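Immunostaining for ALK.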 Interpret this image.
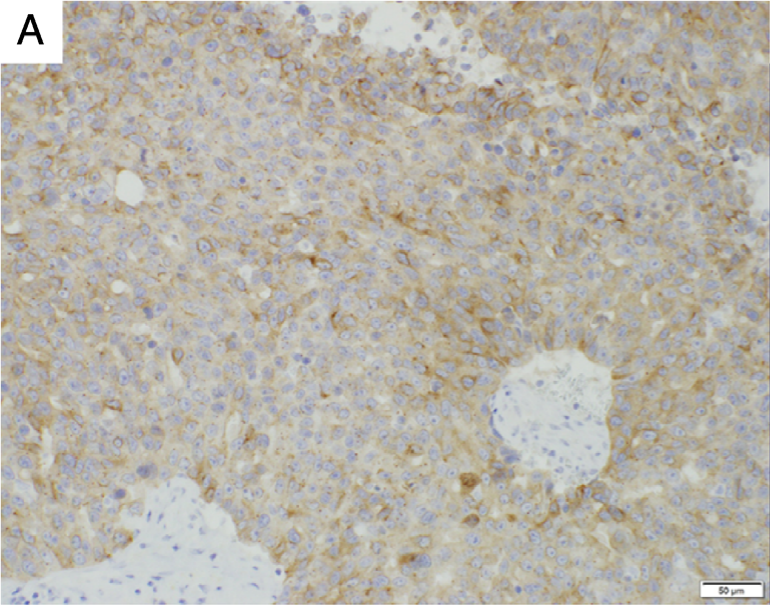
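This is a solid sheet of tumour cells, packed closely together with no glandular arrangement, broken only by a few pale spaces of loose stroma. The cells are polygonal, with round to oval blue nuclei and moderate cytoplasm, and a light brown stain runs through the cytoplasm and along the cell borders across nearly the whole field. The pale stromal spaces themselves stay unstained.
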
